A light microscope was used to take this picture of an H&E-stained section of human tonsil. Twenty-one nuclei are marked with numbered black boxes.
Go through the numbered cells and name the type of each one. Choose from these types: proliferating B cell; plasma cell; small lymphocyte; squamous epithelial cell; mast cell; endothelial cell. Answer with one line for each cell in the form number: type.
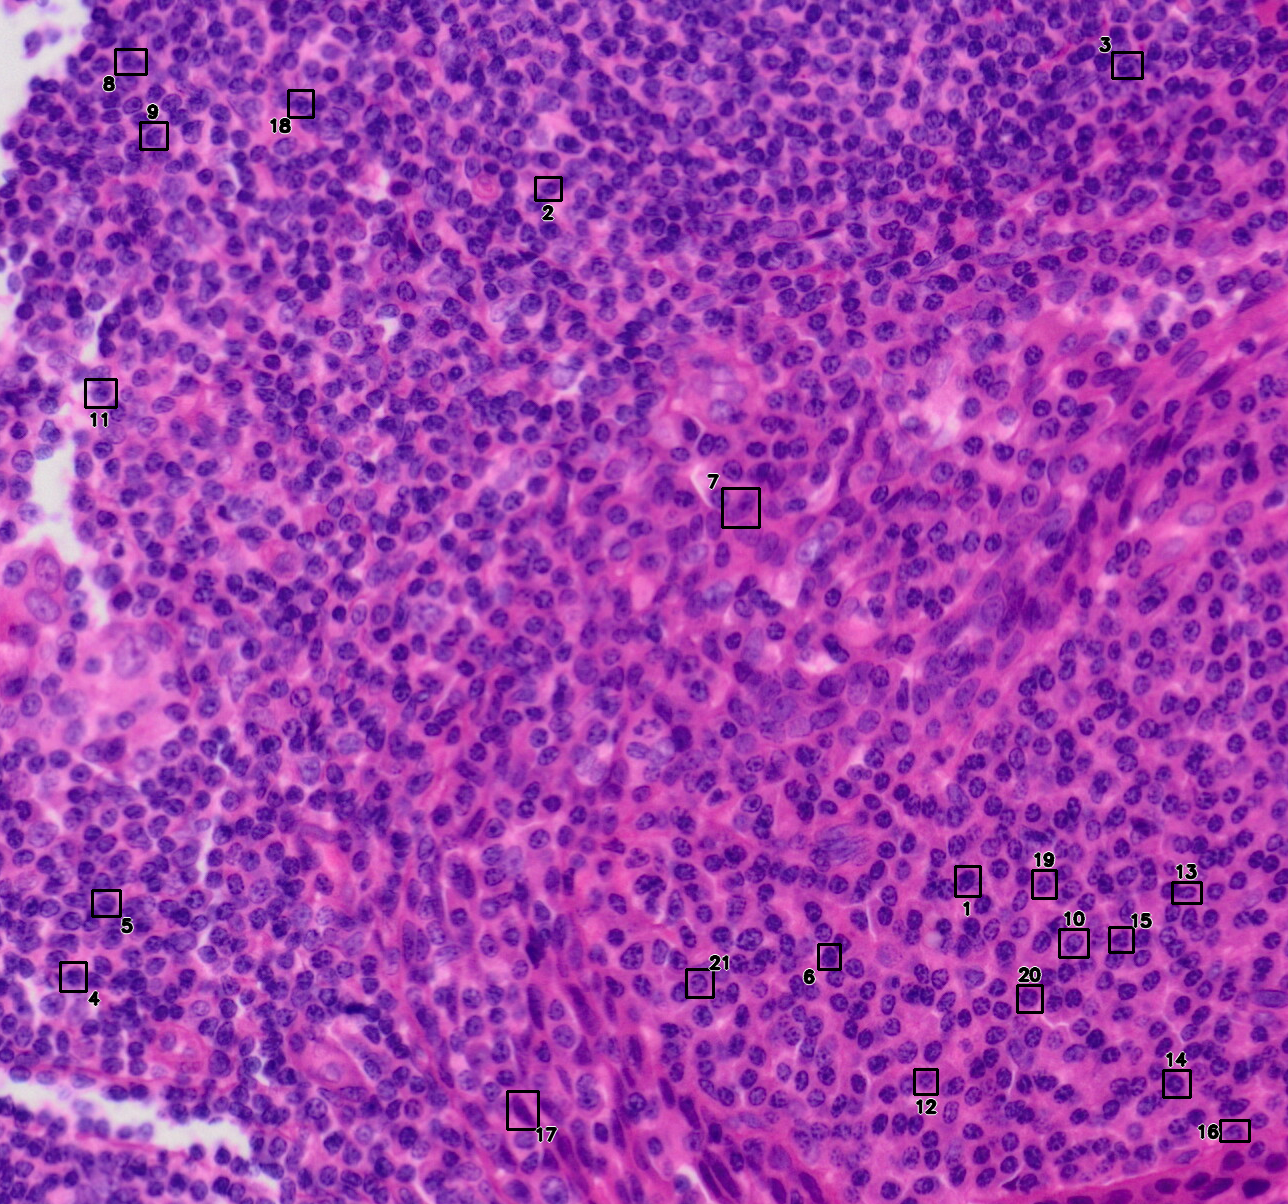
1: plasma cell
2: small lymphocyte
3: small lymphocyte
4: small lymphocyte
5: small lymphocyte
6: plasma cell
7: squamous epithelial cell
8: small lymphocyte
9: small lymphocyte
10: plasma cell
11: small lymphocyte
12: plasma cell
13: plasma cell
14: plasma cell
15: plasma cell
16: plasma cell
17: squamous epithelial cell
18: small lymphocyte
19: plasma cell
20: plasma cell
21: plasma cell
